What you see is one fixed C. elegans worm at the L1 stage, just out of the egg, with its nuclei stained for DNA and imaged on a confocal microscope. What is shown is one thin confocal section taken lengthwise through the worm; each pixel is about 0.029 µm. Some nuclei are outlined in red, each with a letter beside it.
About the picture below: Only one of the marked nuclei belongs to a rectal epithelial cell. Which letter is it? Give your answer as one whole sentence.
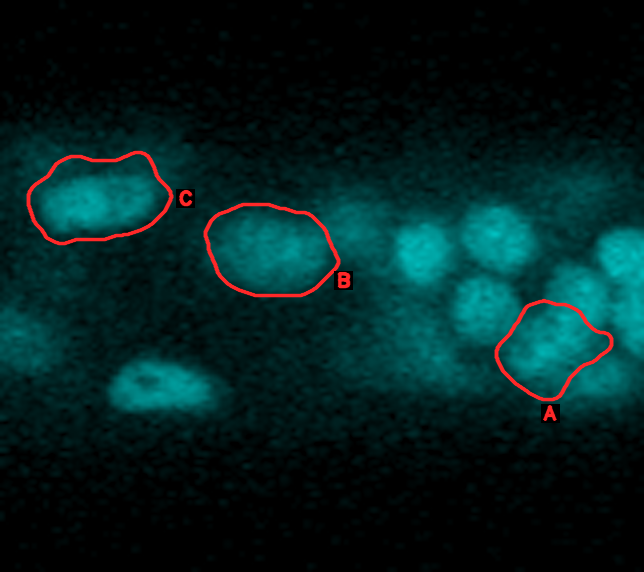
Of the marked nuclei, A is the one in a rectal epithelial cell.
